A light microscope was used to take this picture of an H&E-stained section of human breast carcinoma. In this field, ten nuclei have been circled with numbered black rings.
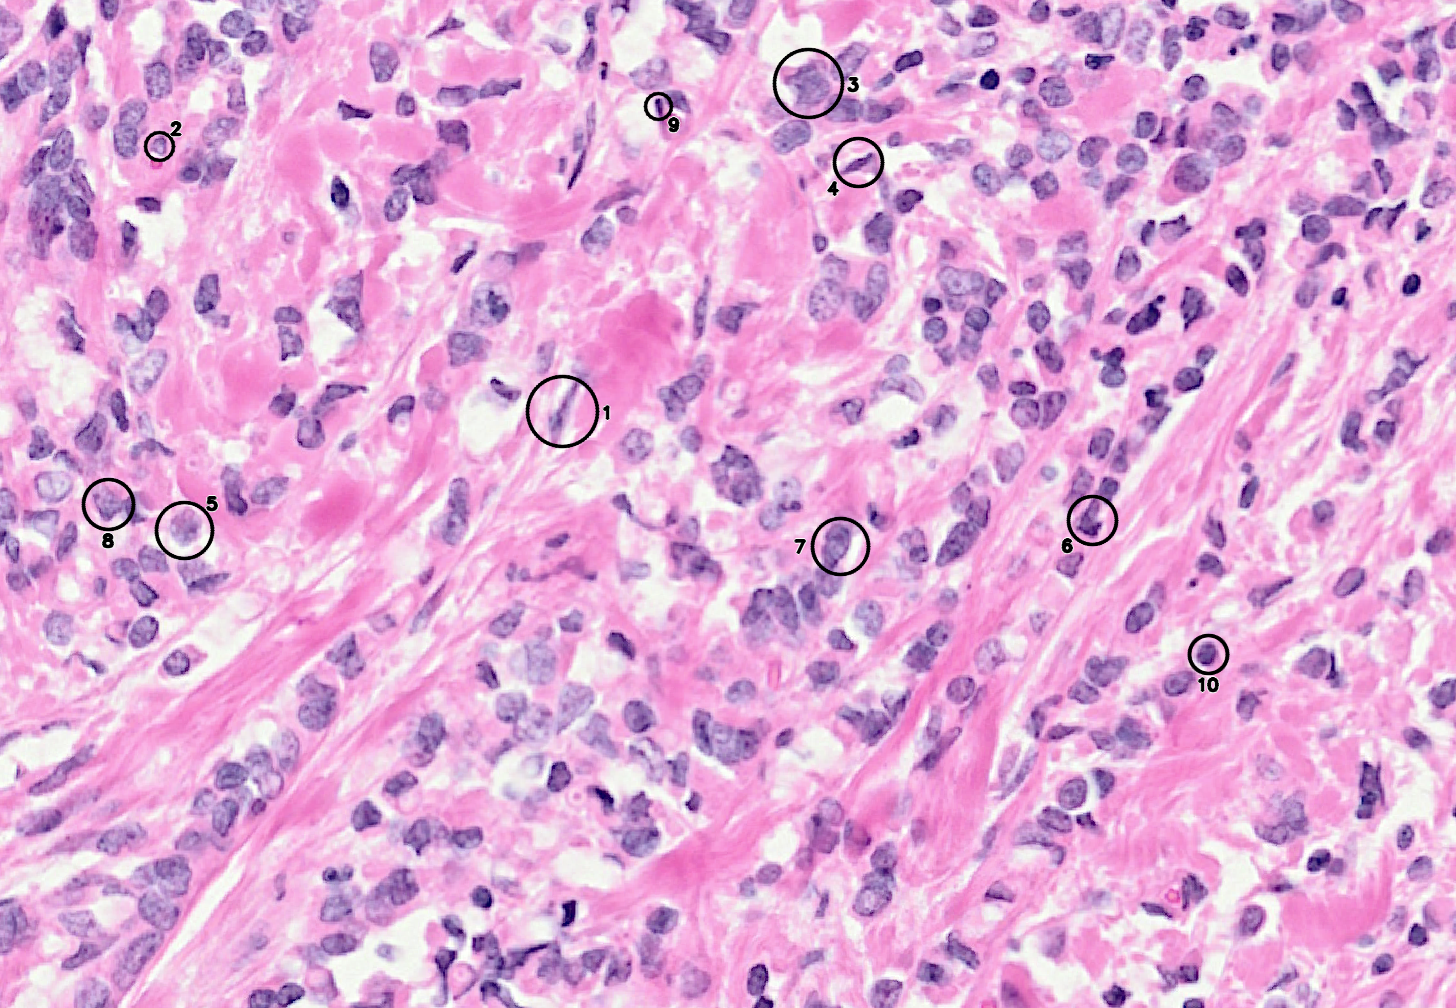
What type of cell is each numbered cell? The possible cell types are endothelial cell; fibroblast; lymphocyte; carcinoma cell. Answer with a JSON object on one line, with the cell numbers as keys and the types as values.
{"1": "fibroblast", "2": "endothelial cell", "3": "carcinoma cell", "4": "fibroblast", "5": "carcinoma cell", "6": "lymphocyte", "7": "carcinoma cell", "8": "carcinoma cell", "9": "endothelial cell", "10": "lymphocyte"}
